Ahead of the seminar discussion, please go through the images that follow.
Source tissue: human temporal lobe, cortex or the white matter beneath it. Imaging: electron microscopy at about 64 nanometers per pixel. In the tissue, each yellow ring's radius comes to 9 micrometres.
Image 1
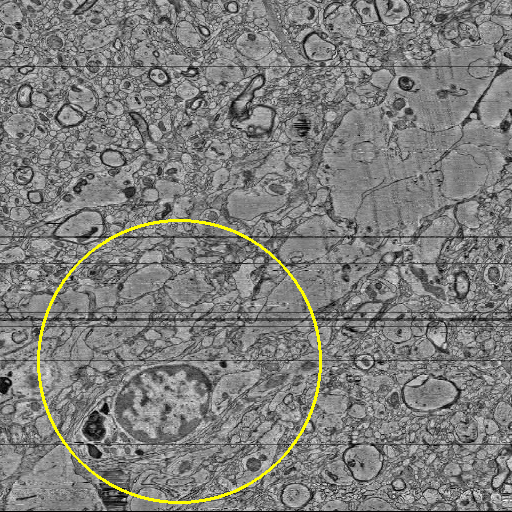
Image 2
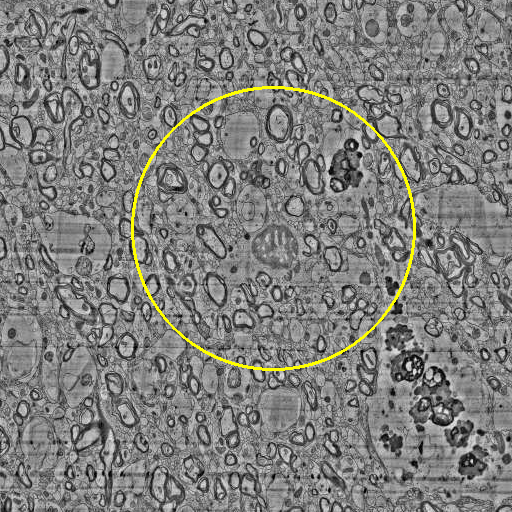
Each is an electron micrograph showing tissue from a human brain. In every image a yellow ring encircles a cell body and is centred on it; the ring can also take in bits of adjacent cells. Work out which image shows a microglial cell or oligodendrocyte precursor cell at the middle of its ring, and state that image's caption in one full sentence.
In Image 1, the ring's centre holds the cell you are looking for.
